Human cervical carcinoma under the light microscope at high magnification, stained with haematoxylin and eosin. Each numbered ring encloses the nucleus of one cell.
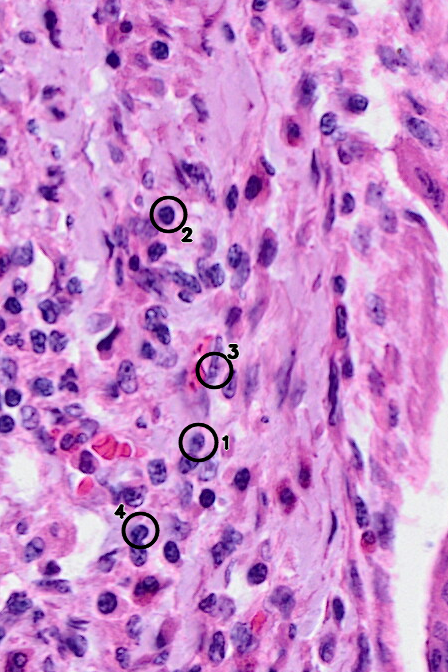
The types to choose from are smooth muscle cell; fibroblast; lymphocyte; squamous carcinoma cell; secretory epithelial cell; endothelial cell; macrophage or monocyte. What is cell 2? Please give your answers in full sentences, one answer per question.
Cell 2, among those numbered, is a lymphocyte.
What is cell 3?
Cell 3 is classified as an endothelial cell.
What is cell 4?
The nucleus marked 4 is the nucleus of a lymphocyte.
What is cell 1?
Among the marked cells, number 1 is a lymphocyte.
